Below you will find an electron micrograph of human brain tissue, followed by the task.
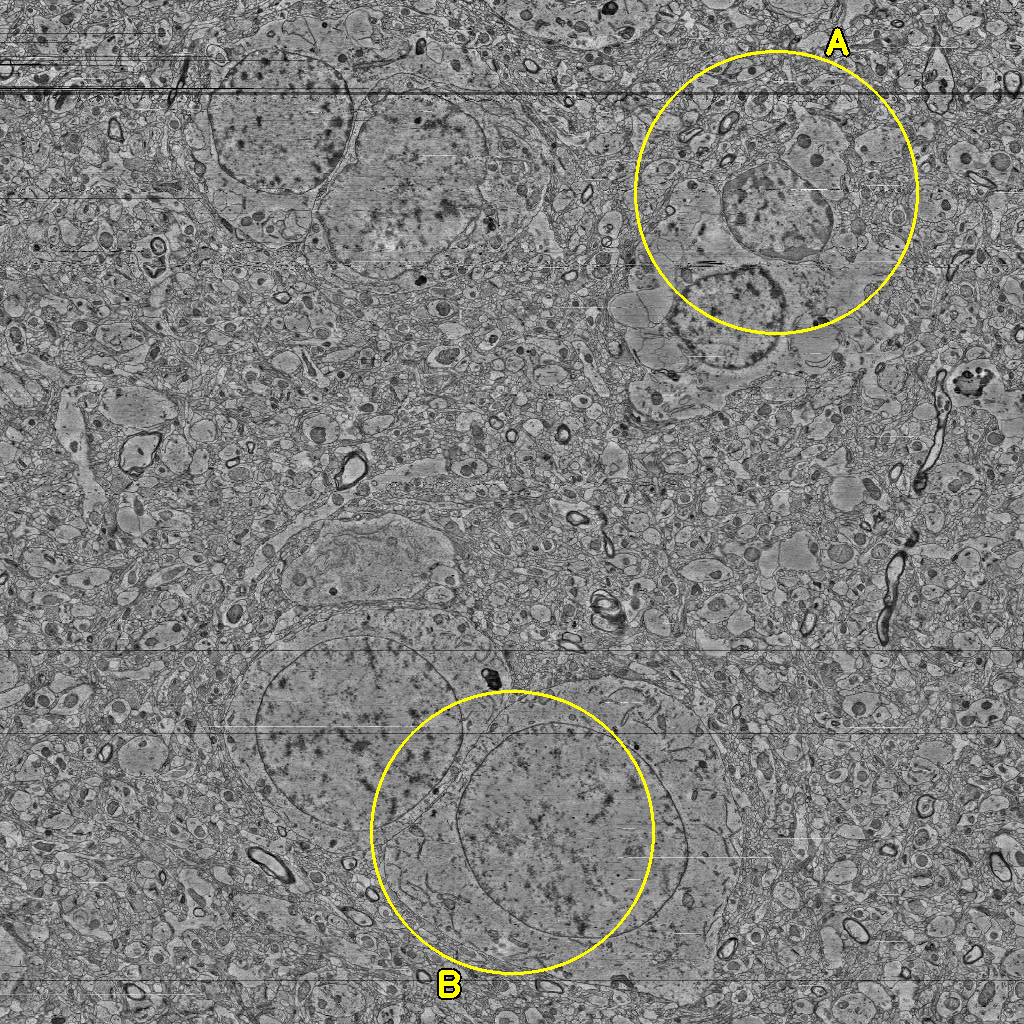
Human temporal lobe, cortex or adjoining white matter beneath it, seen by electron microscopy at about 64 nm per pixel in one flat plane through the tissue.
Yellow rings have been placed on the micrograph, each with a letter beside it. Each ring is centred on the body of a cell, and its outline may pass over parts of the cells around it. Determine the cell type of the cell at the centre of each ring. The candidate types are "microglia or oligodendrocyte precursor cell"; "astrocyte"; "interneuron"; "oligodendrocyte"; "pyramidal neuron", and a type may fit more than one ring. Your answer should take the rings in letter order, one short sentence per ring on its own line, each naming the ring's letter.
The centre of ring A falls on a microglial cell or oligodendrocyte precursor cell.
The centre of ring B falls on a pyramidal neuron.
